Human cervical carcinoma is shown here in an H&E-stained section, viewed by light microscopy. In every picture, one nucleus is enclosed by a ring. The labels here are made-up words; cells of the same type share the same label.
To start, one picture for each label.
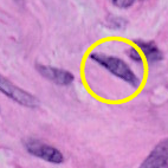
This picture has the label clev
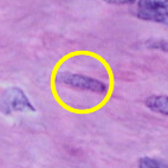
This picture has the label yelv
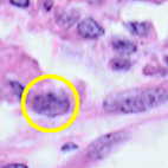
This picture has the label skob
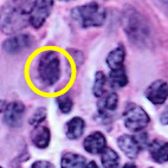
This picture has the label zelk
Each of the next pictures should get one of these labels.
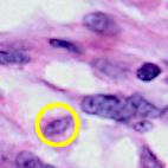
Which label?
skob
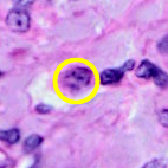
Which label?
skob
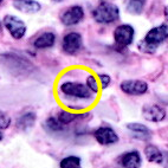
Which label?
zelk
